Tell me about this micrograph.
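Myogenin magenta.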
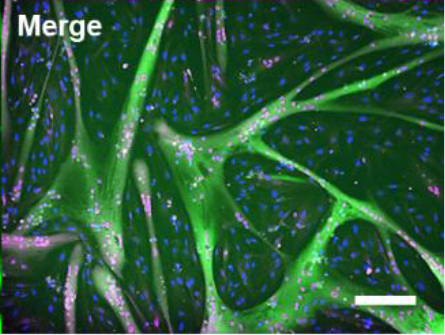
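Broad green tubes run long distances across the field, branching and joining one another into a network. Inside each tube lie many nuclei, crowded in clusters and rows, and many of them appear pink-white where magenta overlaps the blue. Between the tubes lies a background of single cells whose blue nuclei are not inside any green tube, scattered on the dish. The tubes vary in width, some tapering to thin ends, and they are far longer than any single cell around them.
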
